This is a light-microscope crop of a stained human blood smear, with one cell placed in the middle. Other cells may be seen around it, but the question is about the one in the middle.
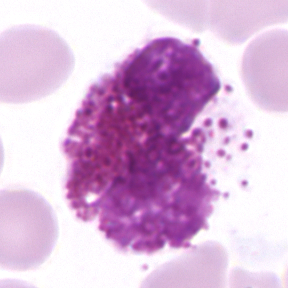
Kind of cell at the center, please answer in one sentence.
The centrally placed cell is classified as an eosinophil.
